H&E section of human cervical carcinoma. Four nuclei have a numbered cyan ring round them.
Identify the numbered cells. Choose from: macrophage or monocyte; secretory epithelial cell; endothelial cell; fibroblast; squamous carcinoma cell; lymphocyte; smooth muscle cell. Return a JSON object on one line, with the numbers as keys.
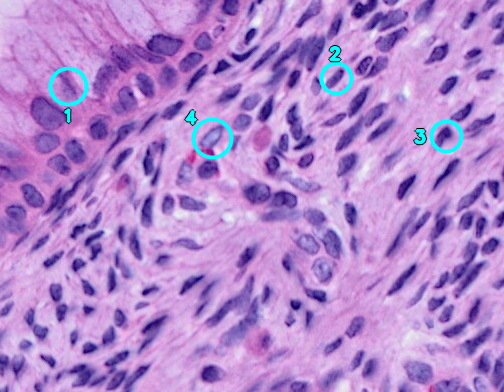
{"1": "secretory epithelial cell", "2": "fibroblast", "3": "fibroblast", "4": "endothelial cell"}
